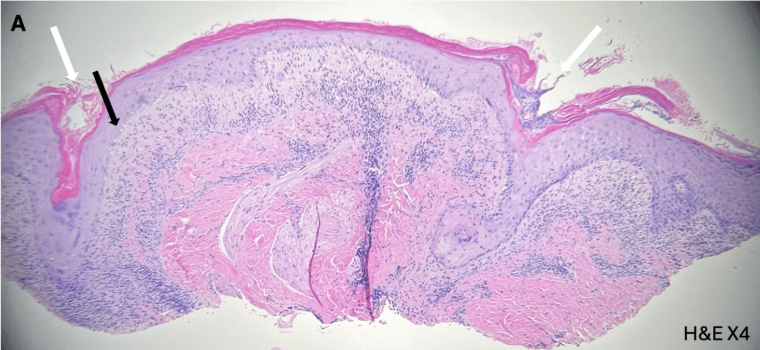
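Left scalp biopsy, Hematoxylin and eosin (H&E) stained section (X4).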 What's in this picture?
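Two funnel-shaped openings at the surface are filled with layered pink keratin, forming follicular plugs. Dense bands of dark purple inflammatory cells run along the base of the epidermis and around the adnexal structures of the dermis. The blurred dermoepidermal junction marks interface inflammation, with perifollicular and periadnexal inflammation alongside.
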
